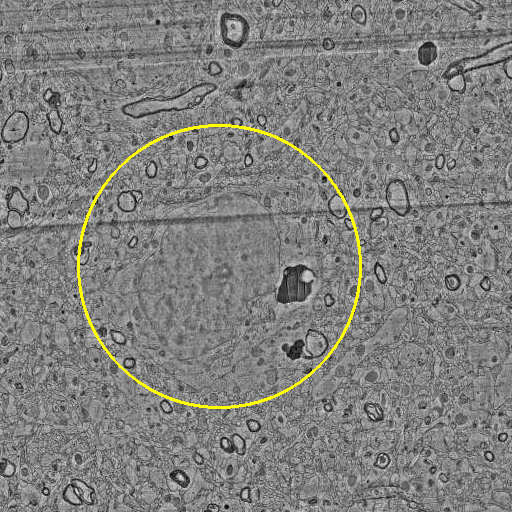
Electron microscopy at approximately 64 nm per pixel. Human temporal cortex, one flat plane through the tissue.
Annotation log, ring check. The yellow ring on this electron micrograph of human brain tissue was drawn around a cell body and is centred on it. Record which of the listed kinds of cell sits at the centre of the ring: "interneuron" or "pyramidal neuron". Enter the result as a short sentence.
The cell at the centre of the ring is an interneuron.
